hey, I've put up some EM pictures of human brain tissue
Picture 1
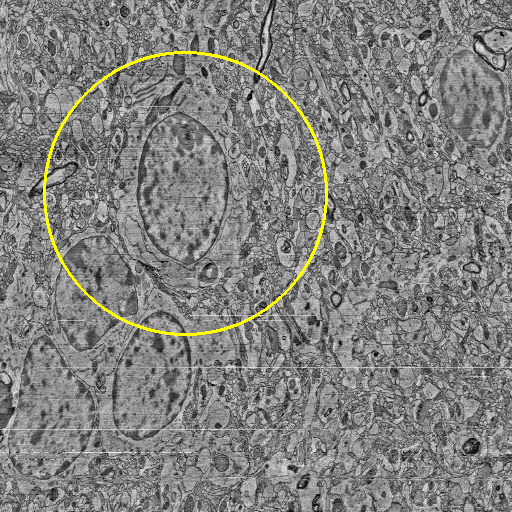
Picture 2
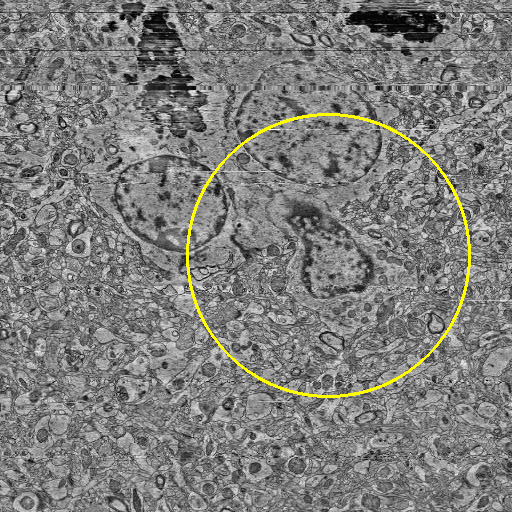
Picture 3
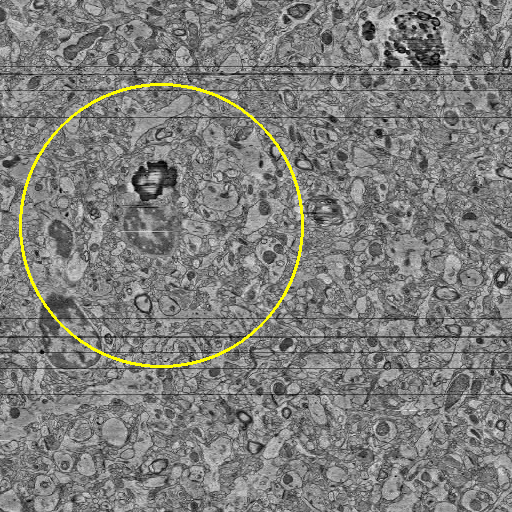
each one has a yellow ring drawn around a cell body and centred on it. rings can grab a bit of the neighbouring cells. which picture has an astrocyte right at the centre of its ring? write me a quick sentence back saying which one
It's Picture 1.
